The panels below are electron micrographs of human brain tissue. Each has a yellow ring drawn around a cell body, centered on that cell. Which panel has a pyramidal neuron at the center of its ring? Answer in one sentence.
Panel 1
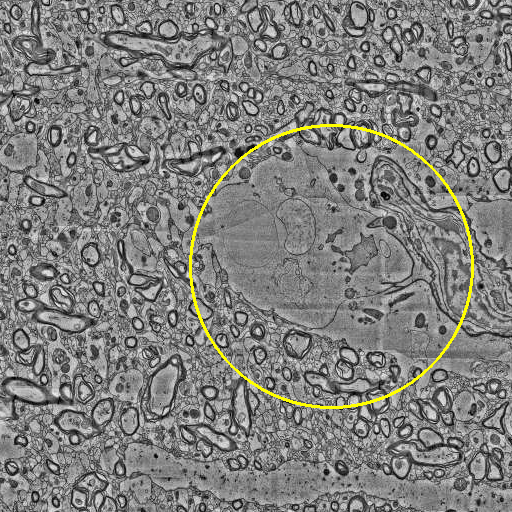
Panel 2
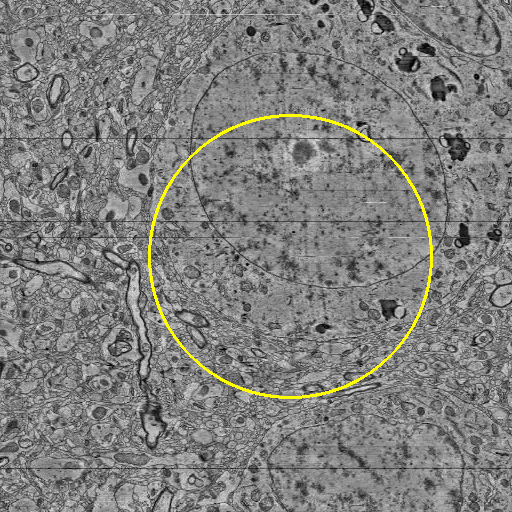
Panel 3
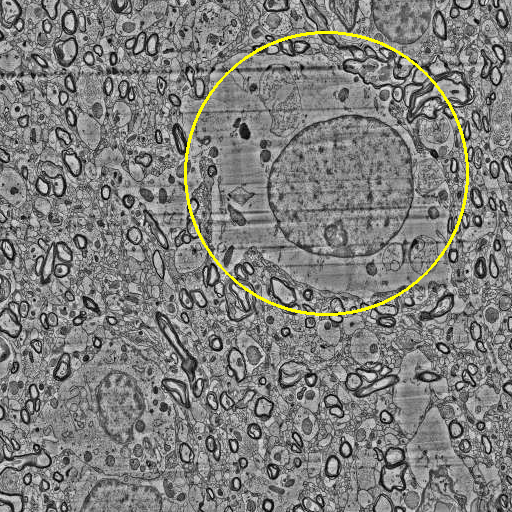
Panel 2 has it at the center of its ring.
